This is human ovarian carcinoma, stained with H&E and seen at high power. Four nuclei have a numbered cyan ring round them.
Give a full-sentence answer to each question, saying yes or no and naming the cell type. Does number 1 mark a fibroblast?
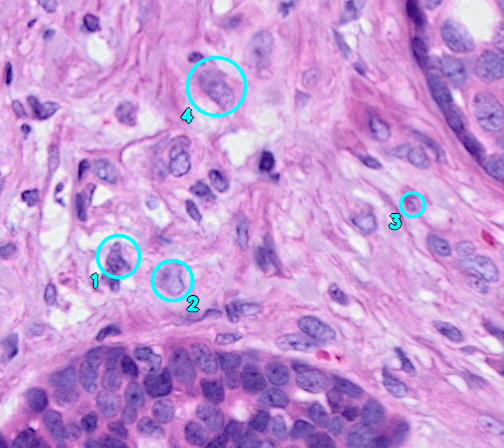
No, with respect, cell 1 is a macrophage or monocyte rather than a fibroblast.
